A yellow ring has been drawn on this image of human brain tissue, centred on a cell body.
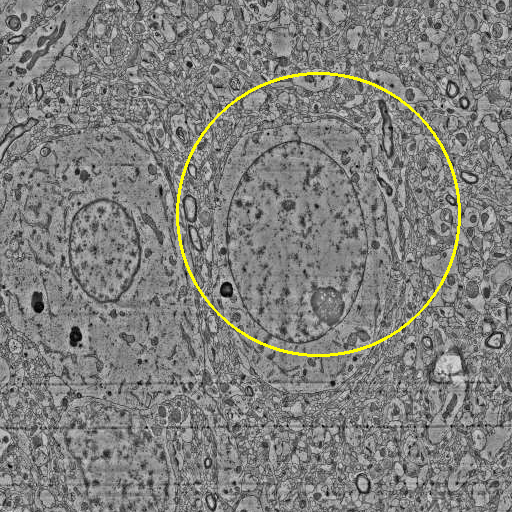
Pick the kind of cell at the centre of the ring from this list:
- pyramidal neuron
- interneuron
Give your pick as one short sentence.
The centre of the ring holds a pyramidal neuron.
